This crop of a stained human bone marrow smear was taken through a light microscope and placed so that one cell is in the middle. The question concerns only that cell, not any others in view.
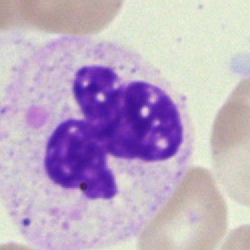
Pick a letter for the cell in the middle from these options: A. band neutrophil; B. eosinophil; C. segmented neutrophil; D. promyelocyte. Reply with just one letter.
C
